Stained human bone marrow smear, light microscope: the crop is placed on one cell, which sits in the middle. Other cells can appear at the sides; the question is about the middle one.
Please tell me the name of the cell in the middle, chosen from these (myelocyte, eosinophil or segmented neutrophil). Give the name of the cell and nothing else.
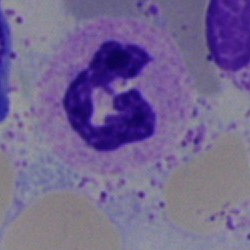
segmented neutrophil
